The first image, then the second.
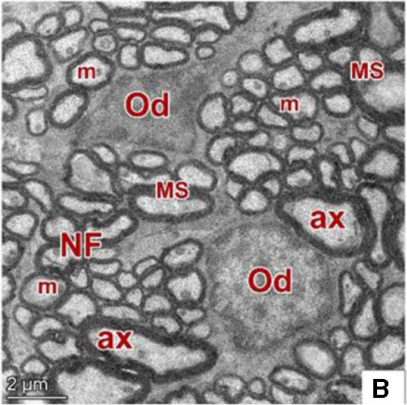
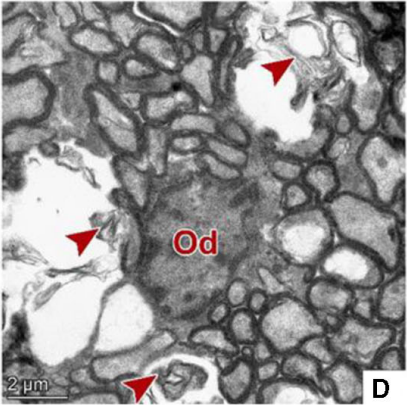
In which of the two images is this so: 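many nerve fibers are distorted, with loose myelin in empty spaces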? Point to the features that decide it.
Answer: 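Second image: several large clear spaces hold frayed, folded myelin fragments. First image: fibers have compact dark myelin rings around pale axoplasm with no large empty spaces.
Hence: the second image.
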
